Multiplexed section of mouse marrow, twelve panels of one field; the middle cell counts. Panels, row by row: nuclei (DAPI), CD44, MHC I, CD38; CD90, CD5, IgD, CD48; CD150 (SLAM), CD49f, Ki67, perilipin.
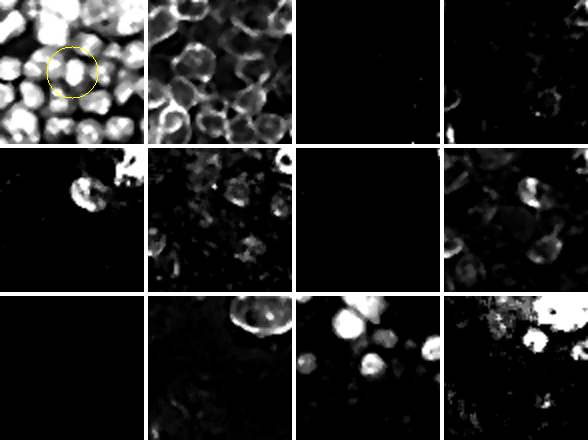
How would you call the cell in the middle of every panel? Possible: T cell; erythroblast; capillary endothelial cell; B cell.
I would call it an erythroblast.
